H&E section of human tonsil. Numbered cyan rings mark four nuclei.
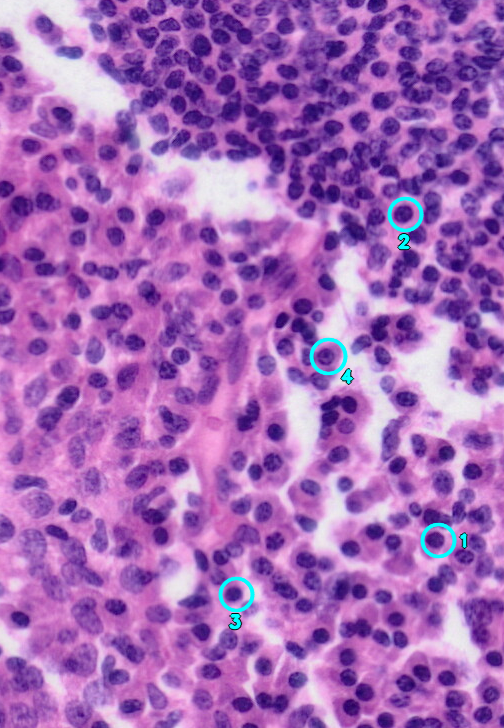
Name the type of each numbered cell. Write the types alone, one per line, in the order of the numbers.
plasma cell
small lymphocyte
plasma cell
plasma cell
